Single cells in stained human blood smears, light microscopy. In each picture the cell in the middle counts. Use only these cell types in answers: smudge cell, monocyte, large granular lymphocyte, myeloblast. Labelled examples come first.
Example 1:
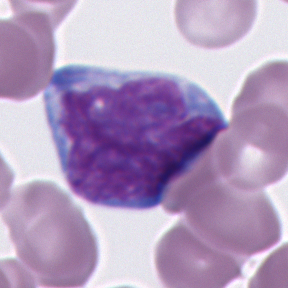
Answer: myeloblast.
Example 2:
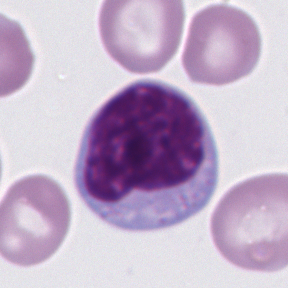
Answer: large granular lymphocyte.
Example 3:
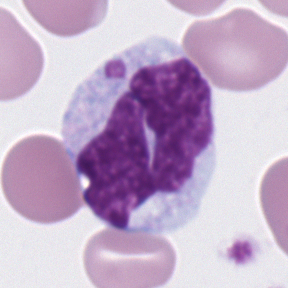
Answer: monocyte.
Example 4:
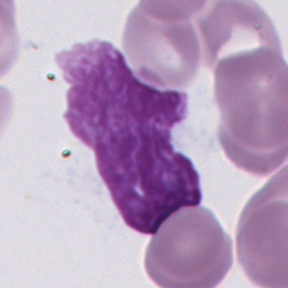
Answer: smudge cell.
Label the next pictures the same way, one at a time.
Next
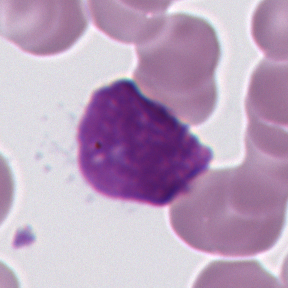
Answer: smudge cell.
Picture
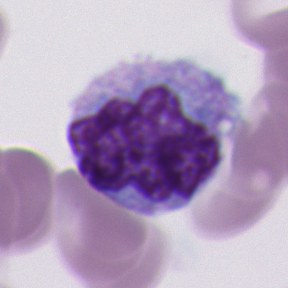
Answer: monocyte.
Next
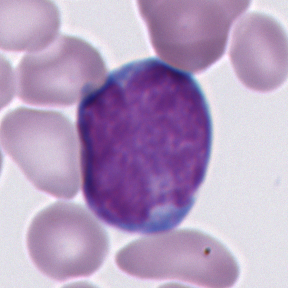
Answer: myeloblast.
